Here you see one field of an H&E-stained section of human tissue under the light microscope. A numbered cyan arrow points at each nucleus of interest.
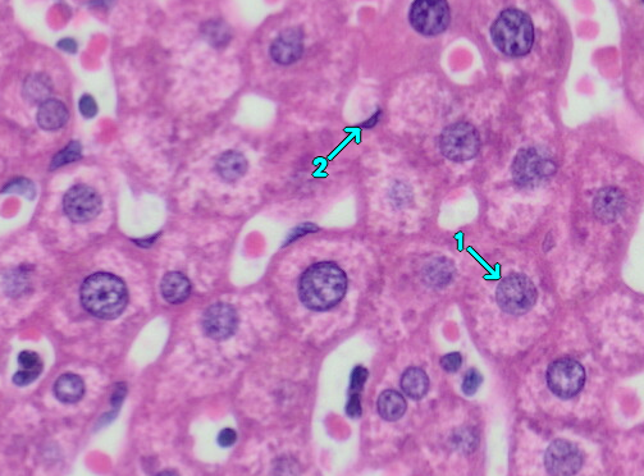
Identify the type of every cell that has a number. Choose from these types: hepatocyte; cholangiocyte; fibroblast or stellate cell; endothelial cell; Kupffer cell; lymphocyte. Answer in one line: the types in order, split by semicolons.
hepatocyte; endothelial cell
